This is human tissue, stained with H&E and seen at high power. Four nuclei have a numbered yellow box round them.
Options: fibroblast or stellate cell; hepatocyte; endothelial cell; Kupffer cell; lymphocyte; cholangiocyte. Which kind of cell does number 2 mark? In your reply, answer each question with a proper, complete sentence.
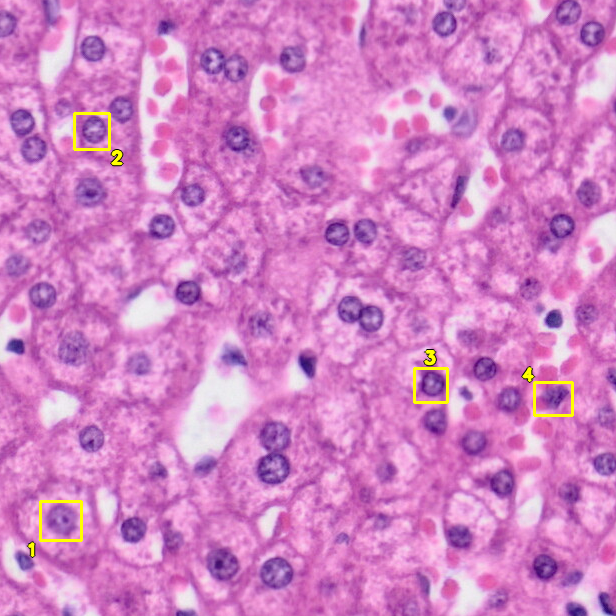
Classified as a hepatocyte is the cell with the number 2.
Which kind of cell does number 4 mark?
The cell marked with number 4 is an endothelial cell.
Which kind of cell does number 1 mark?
Marked with the number 1, this cell is a hepatocyte.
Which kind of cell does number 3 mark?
The marked nucleus 3 is that of a hepatocyte.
